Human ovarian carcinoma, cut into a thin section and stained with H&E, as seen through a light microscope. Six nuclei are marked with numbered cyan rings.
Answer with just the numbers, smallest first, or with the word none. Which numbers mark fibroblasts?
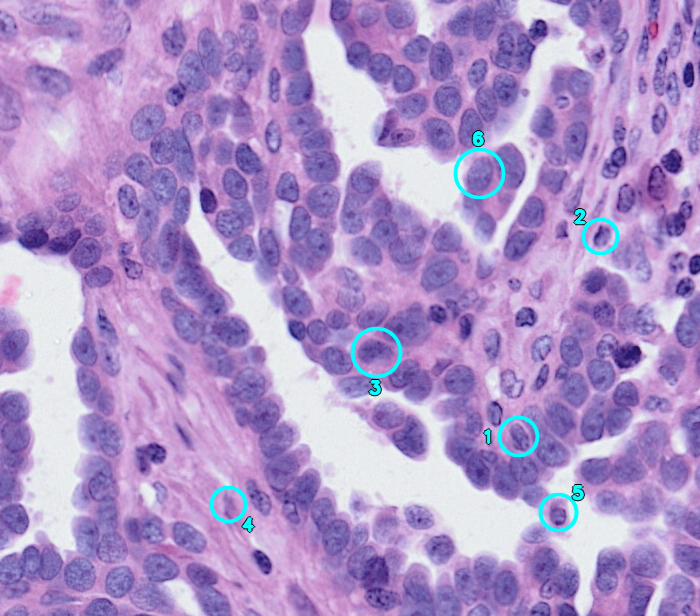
4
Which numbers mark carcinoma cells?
3, 6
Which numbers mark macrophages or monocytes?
1, 5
